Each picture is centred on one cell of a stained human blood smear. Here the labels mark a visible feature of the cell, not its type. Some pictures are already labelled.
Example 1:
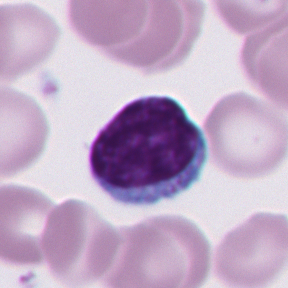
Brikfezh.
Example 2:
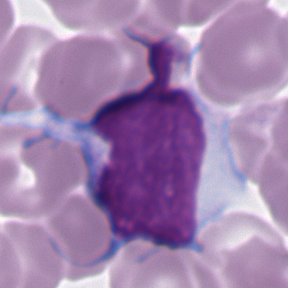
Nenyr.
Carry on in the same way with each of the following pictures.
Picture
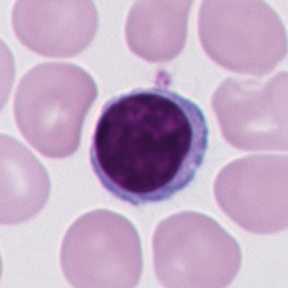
Brikfezh.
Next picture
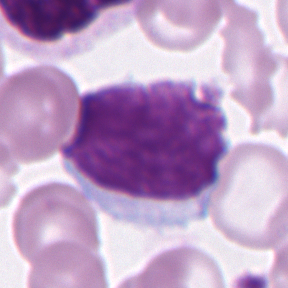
Nenyr.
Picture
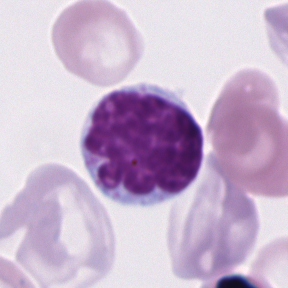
Brikfezh.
